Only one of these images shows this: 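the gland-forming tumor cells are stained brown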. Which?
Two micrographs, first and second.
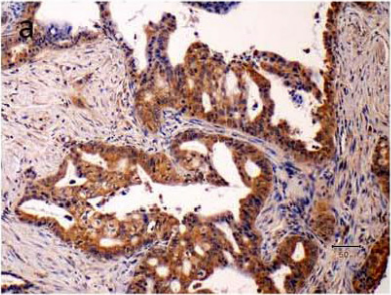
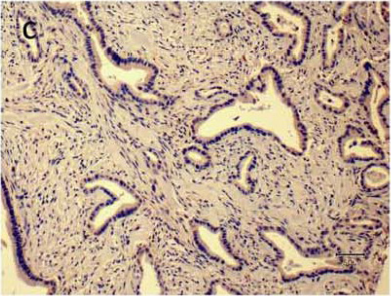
The first image.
